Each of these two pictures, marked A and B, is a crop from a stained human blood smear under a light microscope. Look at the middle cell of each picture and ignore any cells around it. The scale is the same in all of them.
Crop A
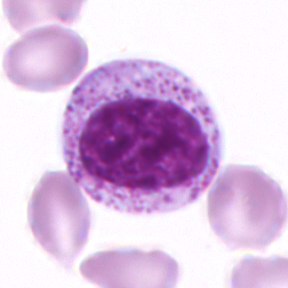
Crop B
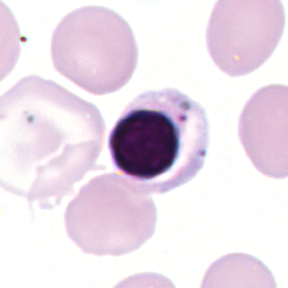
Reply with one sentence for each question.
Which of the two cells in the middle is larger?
The cell in crop A is larger, with about 2.5 times the area of the one in crop B.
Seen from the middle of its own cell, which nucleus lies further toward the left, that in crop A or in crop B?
It is the nucleus in crop B that lies further toward the left of its cell.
